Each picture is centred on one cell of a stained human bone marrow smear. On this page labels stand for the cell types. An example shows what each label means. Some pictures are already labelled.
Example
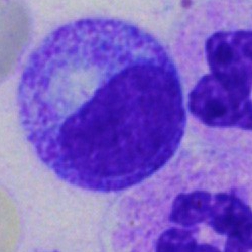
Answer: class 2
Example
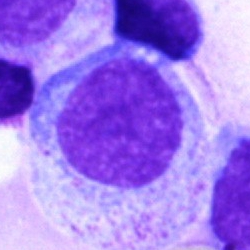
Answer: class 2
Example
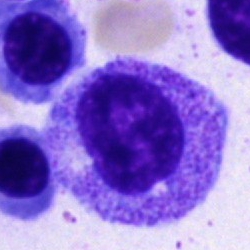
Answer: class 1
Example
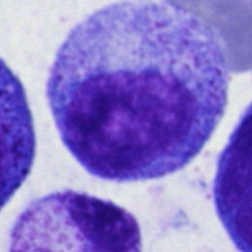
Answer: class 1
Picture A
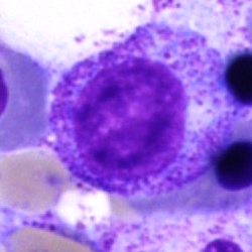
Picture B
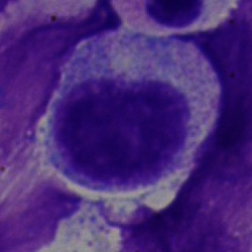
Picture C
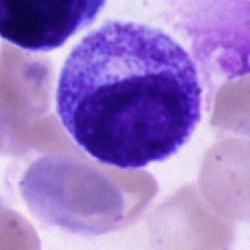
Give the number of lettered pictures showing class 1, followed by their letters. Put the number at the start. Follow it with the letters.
0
